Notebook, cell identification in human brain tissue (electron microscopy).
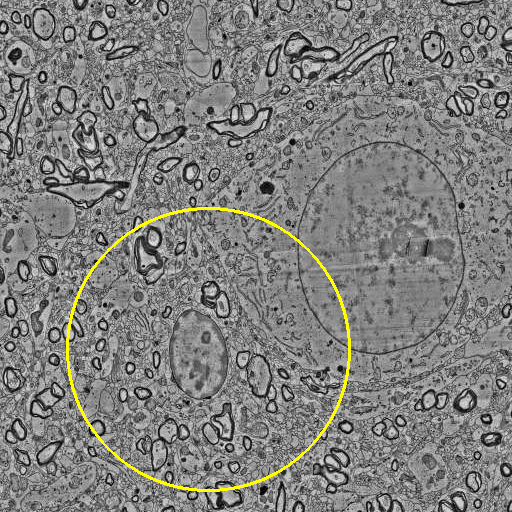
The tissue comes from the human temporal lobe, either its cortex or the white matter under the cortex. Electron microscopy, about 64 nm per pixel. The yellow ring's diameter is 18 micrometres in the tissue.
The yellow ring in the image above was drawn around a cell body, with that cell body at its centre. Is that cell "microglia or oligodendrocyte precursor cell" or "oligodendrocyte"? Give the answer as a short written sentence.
The cell in the ring is a microglial cell or oligodendrocyte precursor cell.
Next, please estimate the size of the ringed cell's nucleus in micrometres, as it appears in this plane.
Roughly 6 micrometres by 4 micrometres, so the nucleus is clearly longer than it is wide in this plane.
